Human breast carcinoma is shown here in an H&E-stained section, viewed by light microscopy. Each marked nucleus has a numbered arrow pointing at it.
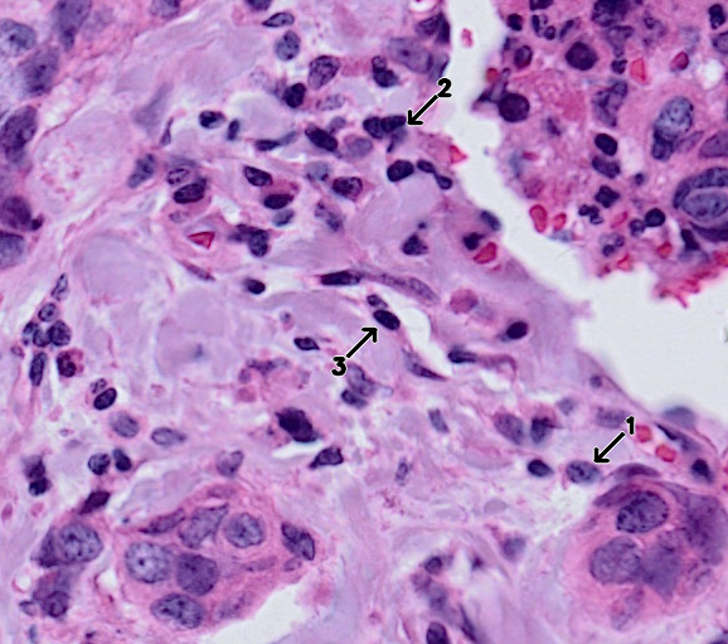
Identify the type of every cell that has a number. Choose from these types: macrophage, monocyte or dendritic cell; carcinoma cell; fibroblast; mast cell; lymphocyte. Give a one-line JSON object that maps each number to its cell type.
{"1": "mast cell", "2": "lymphocyte", "3": "lymphocyte"}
